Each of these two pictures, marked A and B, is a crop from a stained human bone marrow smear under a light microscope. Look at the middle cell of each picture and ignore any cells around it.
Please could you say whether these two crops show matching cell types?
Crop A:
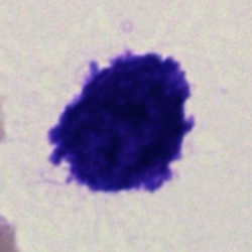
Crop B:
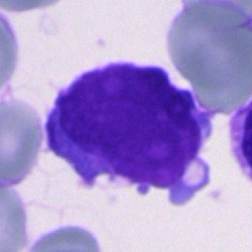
yes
